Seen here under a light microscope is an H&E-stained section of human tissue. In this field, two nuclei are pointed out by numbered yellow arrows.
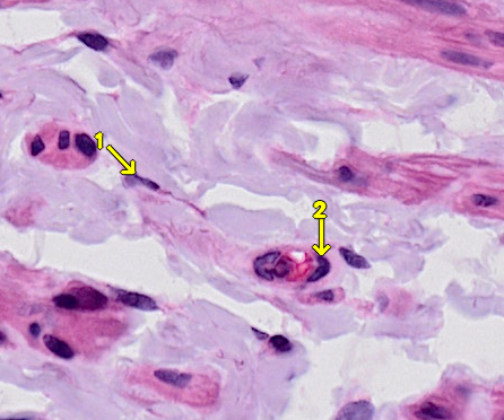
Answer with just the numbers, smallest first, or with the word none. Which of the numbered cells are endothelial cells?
2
